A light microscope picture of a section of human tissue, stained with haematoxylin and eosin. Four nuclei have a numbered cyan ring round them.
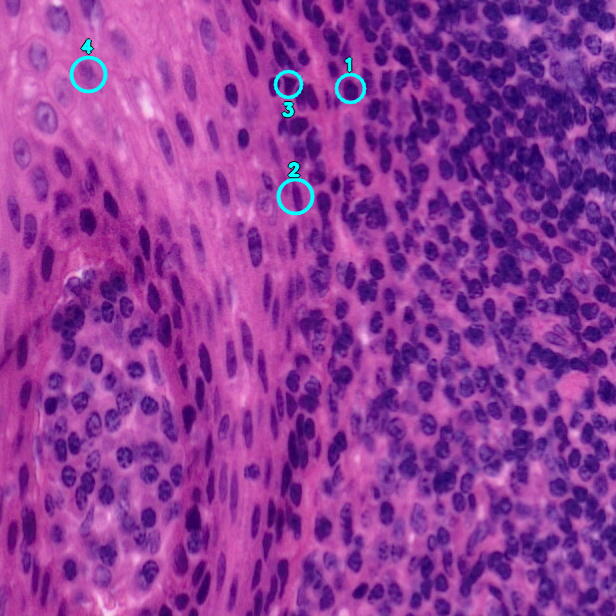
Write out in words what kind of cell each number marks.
Cell 1 is a plasma cell, cell 2 is a squamous epithelial cell, cell 3 is a squamous epithelial cell and cell 4 is a squamous epithelial cell.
